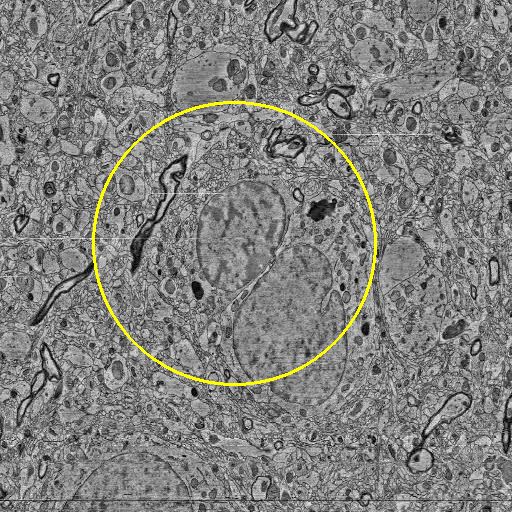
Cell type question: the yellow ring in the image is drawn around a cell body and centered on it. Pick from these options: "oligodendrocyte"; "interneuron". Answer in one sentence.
The ringed cell at the center is an oligodendrocyte.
